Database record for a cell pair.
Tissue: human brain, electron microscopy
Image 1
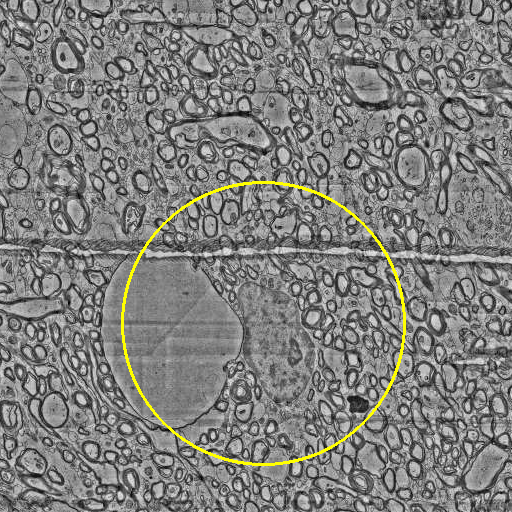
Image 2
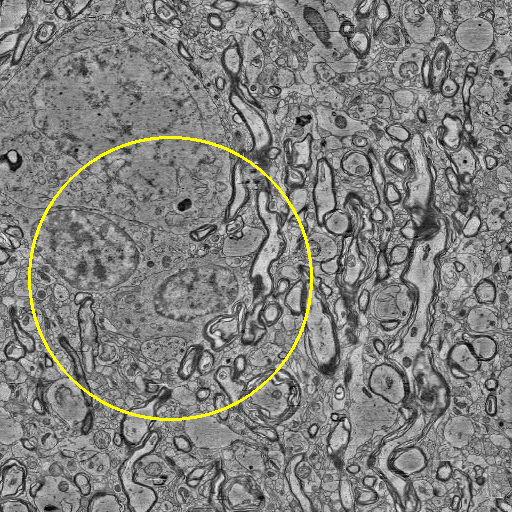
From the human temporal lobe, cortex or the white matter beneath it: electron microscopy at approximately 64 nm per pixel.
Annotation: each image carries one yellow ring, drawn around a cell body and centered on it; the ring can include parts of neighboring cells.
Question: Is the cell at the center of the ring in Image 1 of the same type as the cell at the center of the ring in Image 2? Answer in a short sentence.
Yes, the cells are of the same type.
